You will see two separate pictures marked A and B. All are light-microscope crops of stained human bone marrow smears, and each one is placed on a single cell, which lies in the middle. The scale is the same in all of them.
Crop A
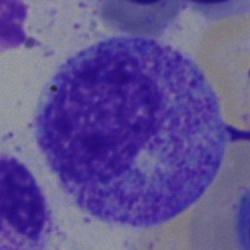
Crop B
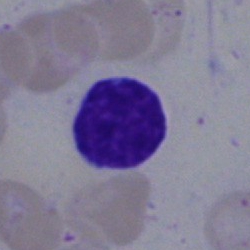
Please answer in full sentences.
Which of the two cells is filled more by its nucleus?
Of the two, the nucleus in crop B makes up the greater part of its cell.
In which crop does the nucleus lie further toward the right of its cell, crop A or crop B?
The nucleus in crop B lies further toward the right of its cell.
